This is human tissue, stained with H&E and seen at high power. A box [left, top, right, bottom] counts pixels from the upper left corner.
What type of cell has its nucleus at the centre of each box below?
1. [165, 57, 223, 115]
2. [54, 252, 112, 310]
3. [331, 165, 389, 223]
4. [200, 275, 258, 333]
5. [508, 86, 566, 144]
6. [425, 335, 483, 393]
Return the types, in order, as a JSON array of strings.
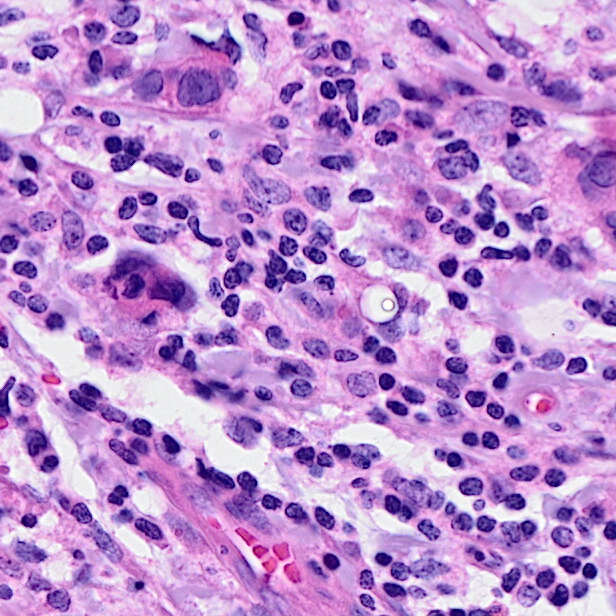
["carcinoma cell", "macrophage, monocyte or dendritic cell", "lymphocyte", "lymphocyte", "lymphocyte", "lymphocyte"]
